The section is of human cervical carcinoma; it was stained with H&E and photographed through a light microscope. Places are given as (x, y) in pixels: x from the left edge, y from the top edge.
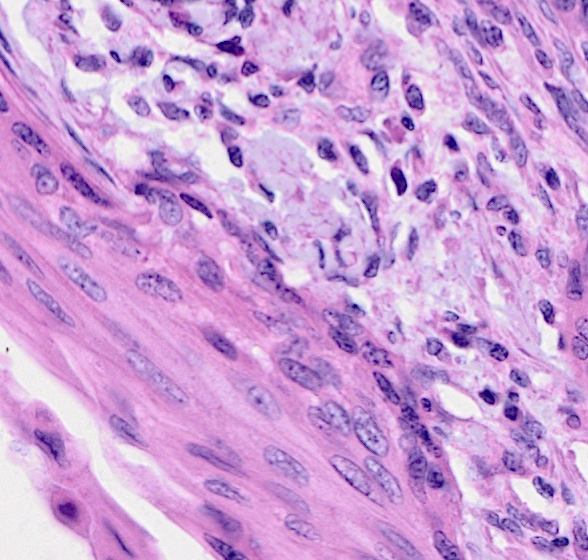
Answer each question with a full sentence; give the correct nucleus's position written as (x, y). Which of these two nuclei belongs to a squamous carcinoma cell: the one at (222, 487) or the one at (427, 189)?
The nucleus belonging to a squamous carcinoma cell is the one at (222, 487).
